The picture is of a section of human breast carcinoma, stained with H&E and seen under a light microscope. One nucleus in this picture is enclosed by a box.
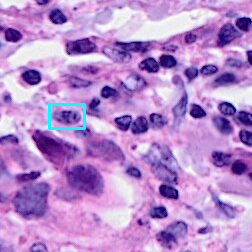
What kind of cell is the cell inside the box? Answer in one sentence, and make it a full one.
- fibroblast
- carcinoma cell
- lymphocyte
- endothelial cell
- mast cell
The identity of the cell inside the box: it is a mast cell.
